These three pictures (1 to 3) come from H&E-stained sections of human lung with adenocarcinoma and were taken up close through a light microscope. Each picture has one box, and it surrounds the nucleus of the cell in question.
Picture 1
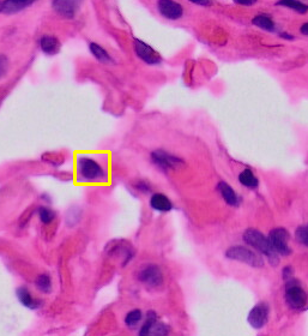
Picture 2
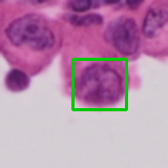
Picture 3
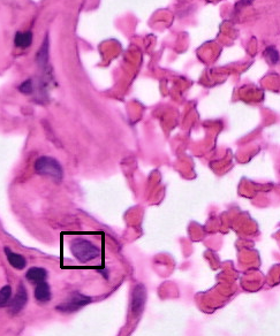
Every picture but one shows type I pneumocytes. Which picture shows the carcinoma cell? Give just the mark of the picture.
2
